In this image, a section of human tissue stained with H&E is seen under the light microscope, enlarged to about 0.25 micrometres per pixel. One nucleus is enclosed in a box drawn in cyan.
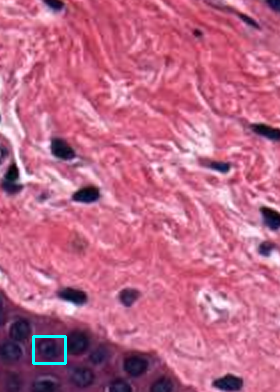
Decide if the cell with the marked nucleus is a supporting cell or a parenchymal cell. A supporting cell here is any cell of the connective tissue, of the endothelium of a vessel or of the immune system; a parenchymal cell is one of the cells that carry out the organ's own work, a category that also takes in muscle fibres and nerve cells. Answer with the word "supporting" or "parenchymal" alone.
parenchymal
